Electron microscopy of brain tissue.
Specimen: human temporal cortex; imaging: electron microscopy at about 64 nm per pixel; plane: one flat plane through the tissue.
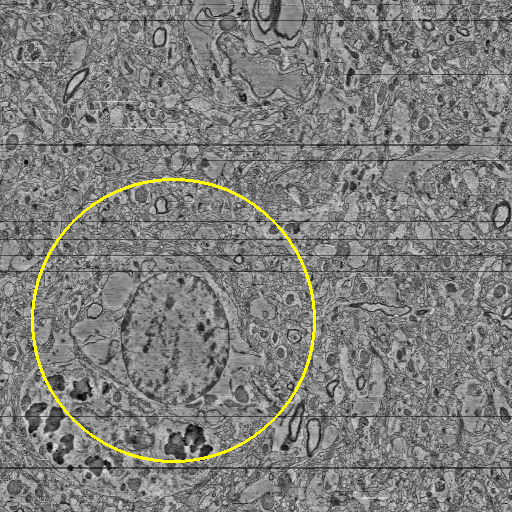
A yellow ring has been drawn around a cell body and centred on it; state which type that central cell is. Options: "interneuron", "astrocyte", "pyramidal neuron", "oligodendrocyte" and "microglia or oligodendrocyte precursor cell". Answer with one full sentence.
The cell at the middle of the yellow ring is an astrocyte in this picture.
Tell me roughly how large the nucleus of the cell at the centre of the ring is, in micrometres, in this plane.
Roughly 9 micrometres by 7 micrometres, in this plane.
